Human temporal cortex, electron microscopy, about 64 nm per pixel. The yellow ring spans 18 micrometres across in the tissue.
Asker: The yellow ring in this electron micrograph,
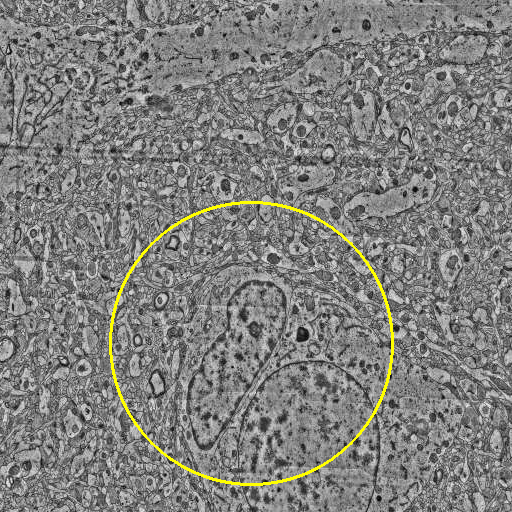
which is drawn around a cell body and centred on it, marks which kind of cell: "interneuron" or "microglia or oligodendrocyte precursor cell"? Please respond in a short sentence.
The marked cell is a microglial cell or oligodendrocyte precursor cell.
